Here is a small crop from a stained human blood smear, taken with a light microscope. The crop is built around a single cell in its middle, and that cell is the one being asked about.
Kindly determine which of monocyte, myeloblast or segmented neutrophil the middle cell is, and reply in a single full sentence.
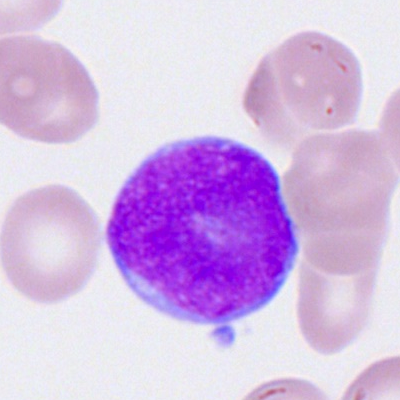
By type, the central cell of the crop is a myeloblast.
